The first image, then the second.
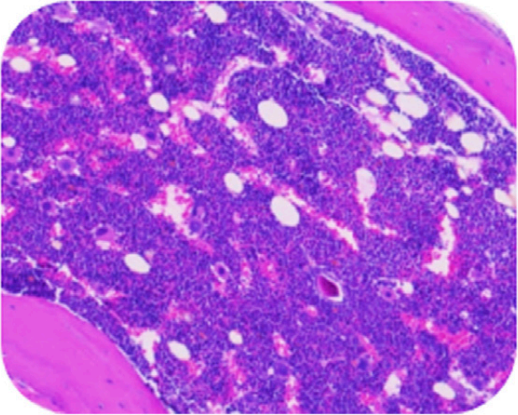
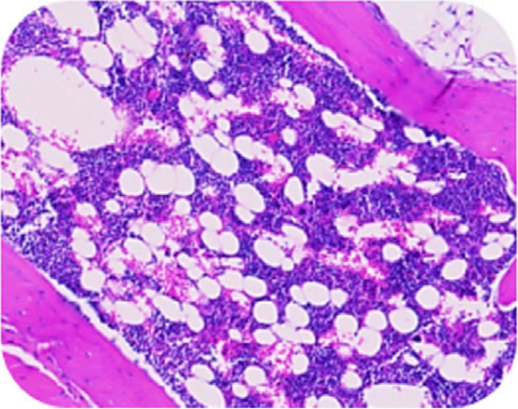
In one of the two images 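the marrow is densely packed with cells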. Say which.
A: the first image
